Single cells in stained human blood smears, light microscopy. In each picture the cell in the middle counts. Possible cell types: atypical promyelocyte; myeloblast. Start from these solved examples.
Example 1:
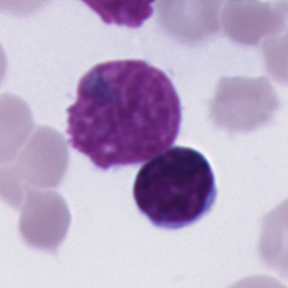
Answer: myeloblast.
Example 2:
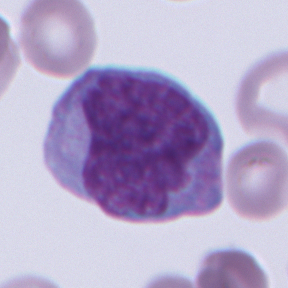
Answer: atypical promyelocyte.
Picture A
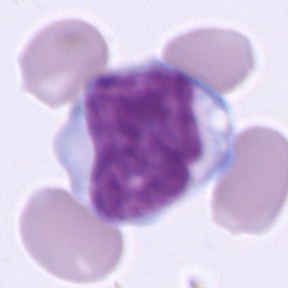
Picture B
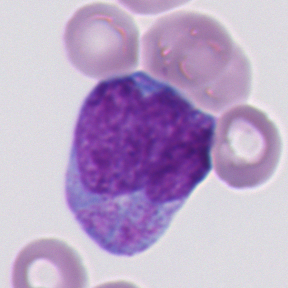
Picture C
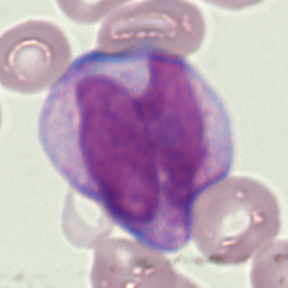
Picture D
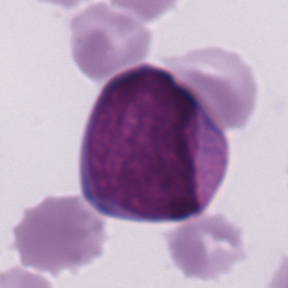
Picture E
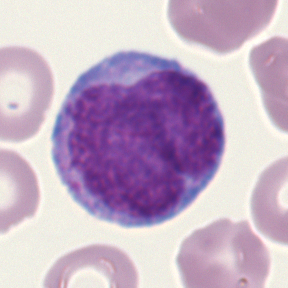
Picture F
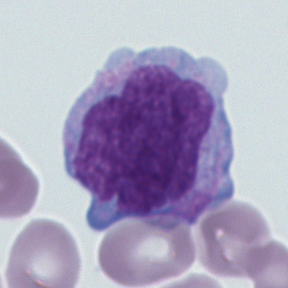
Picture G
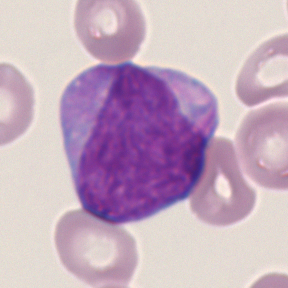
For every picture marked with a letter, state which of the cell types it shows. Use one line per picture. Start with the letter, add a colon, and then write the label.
A: myeloblast.
B: atypical promyelocyte.
C: atypical promyelocyte.
D: myeloblast.
E: atypical promyelocyte.
F: atypical promyelocyte.
G: atypical promyelocyte.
